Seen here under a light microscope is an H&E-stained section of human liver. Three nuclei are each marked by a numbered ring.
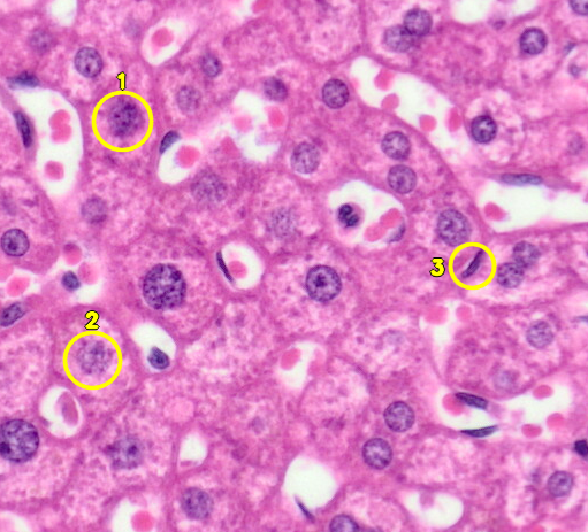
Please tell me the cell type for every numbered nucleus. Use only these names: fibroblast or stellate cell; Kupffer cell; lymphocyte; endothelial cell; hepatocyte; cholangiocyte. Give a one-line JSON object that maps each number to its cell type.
{"1": "hepatocyte", "2": "hepatocyte", "3": "fibroblast or stellate cell"}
